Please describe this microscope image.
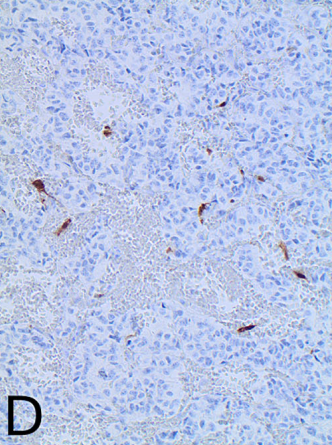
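Most of the field is filled by sheets of tumor cells with blue nuclei and pale cytoplasm that take up no brown stain. Scattered among them lie a few single brown cells, slender and elongated, some with thin tapering processes, spread sparsely at the edges of the cell groups. They are far fewer than the unstained tumor cells and do not form sheets.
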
